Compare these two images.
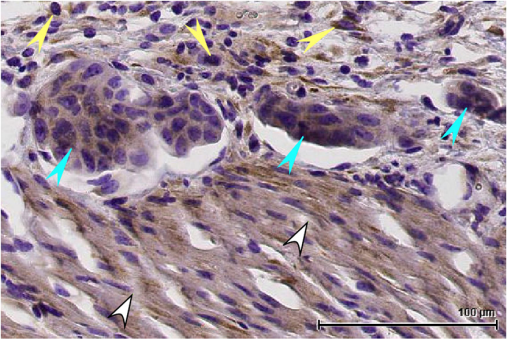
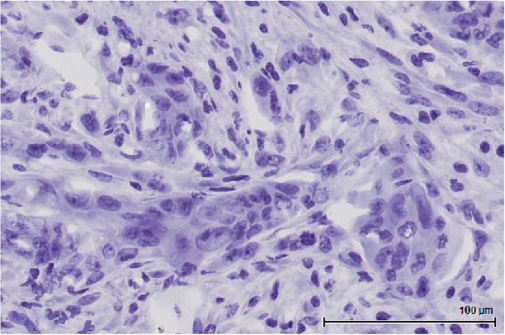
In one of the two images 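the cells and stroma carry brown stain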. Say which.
The first image.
